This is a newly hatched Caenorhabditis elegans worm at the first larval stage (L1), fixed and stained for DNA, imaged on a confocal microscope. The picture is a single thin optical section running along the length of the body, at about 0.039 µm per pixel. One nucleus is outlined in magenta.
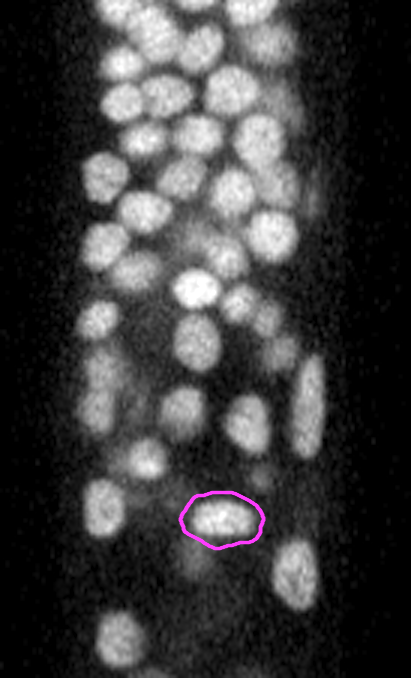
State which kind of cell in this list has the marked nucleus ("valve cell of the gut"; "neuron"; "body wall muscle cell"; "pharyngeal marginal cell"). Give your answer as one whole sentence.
This is the nucleus of a valve cell of the gut.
